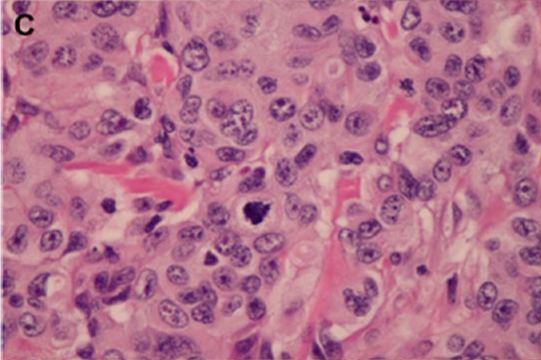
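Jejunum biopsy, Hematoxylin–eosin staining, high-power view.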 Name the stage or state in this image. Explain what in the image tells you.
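Near the centre one cell has dense, dark, clumped chromatin without a nuclear membrane. Surrounding nuclei have open chromatin and nucleoli.
Mitotic figure.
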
